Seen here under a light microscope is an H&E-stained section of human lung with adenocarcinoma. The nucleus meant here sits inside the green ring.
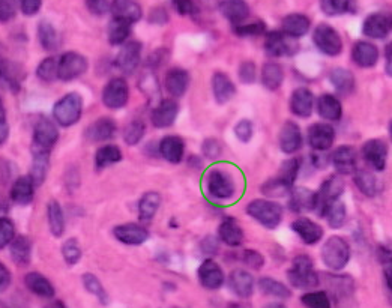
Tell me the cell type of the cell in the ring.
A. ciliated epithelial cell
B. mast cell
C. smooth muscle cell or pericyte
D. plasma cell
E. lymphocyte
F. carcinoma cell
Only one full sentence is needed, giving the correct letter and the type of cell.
It is correct to say that the cell in the ring is a lymphocyte, as option E does.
